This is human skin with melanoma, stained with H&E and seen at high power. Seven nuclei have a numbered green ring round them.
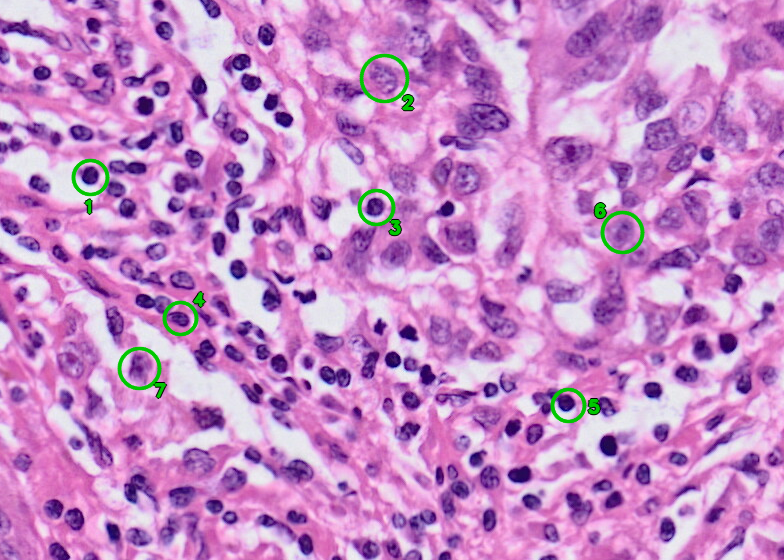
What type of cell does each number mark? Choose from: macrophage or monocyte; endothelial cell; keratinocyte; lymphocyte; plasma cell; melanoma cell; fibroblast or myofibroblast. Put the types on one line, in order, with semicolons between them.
lymphocyte; melanoma cell; lymphocyte; lymphocyte; lymphocyte; melanoma cell; melanoma cell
